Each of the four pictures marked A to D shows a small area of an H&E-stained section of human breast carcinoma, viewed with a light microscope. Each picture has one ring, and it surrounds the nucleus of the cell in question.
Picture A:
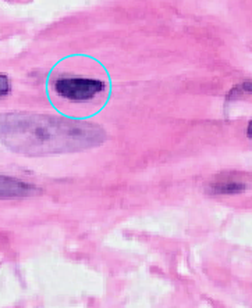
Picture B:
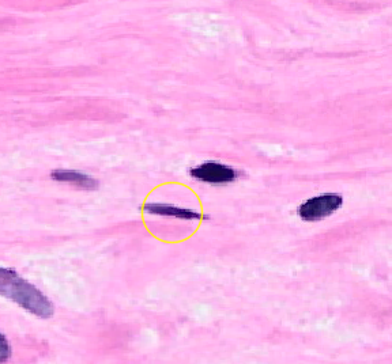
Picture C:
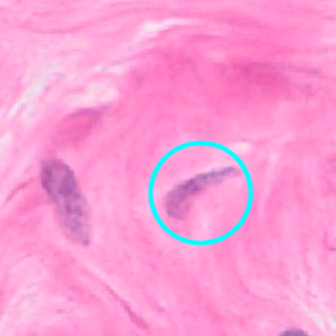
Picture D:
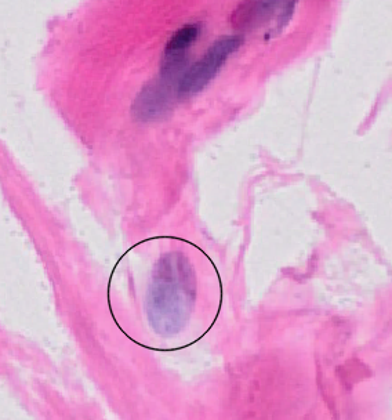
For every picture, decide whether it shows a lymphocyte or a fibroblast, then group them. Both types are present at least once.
A: lymphocyte
B: fibroblast
C: fibroblast
D: fibroblast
